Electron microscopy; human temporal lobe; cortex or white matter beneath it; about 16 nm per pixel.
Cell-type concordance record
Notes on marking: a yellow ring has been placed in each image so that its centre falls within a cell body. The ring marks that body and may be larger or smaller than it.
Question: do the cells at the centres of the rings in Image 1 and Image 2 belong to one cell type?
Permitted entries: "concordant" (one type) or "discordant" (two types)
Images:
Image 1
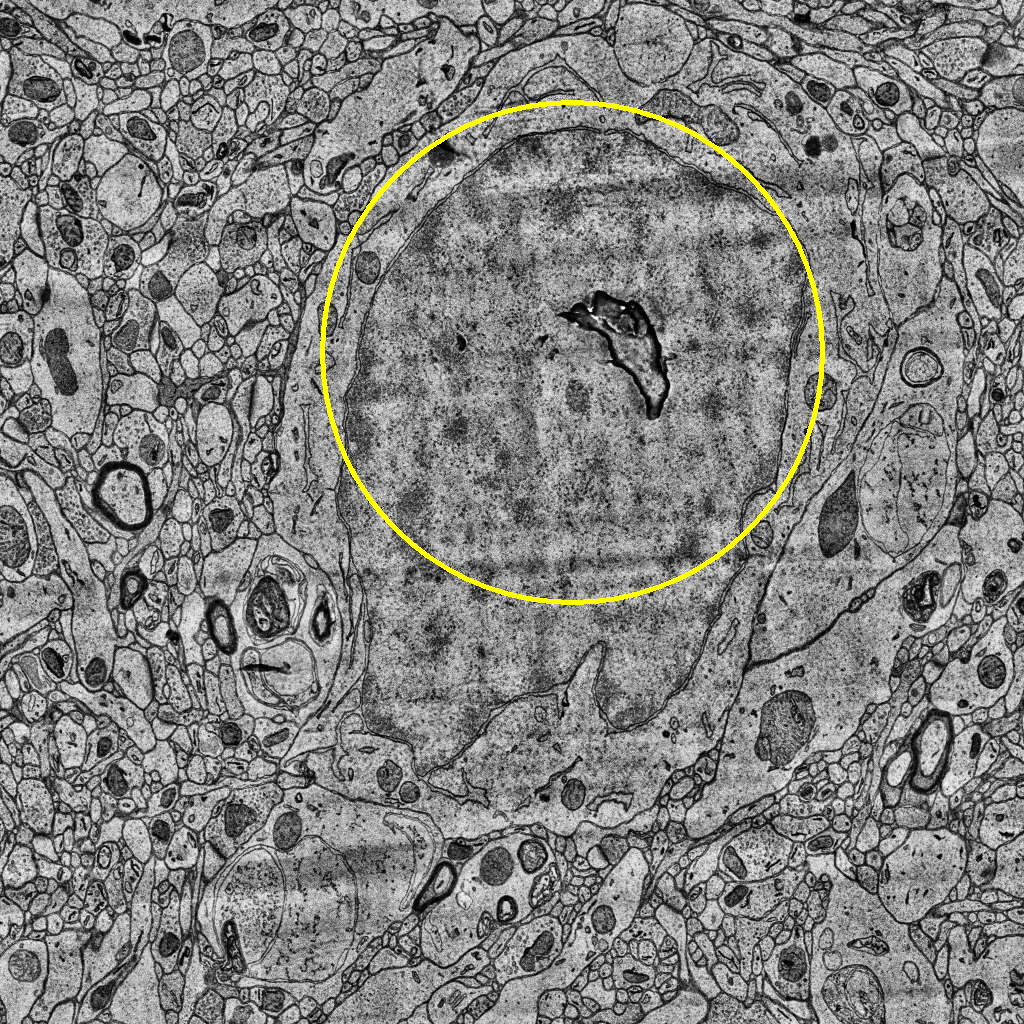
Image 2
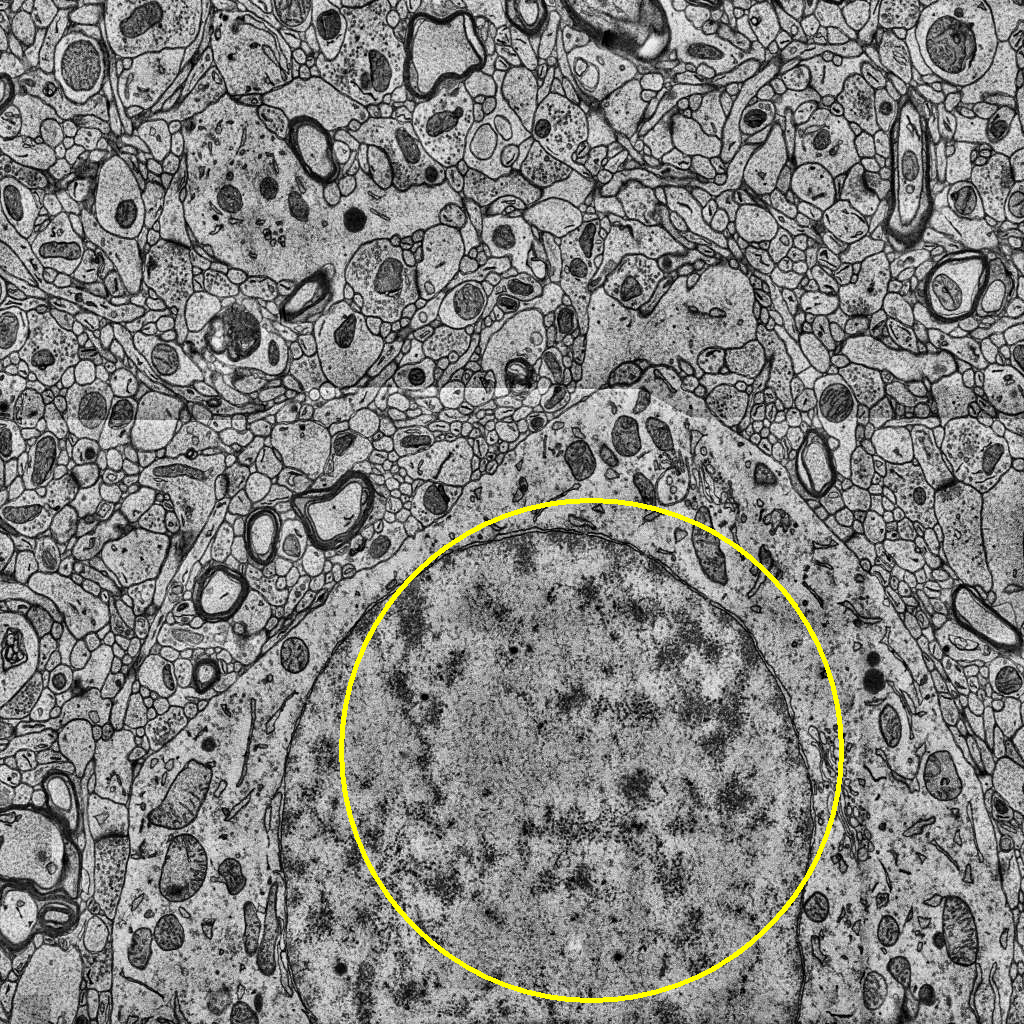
concordant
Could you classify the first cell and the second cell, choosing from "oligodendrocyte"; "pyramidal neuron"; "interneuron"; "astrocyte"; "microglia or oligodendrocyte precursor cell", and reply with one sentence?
Each cell, in the first picture and the second, is an interneuron.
